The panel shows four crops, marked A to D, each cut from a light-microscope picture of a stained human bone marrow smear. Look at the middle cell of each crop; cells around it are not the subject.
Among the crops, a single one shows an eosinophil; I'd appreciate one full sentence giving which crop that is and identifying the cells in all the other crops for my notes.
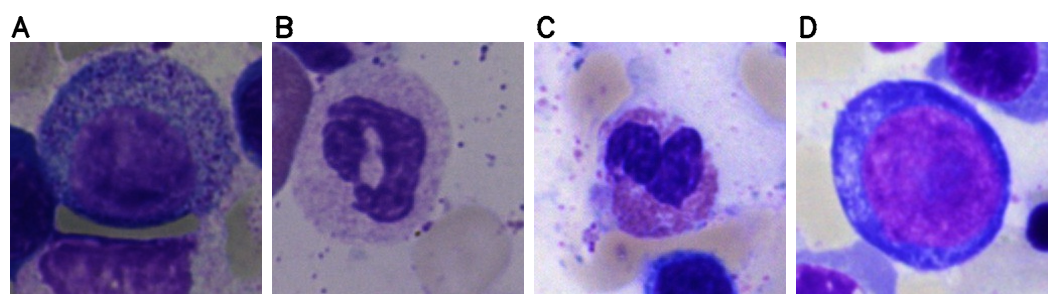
The labels are: crop C is an eosinophil, and crop A is a promyelocyte, crop B is a segmented neutrophil and crop D is a proerythroblast.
